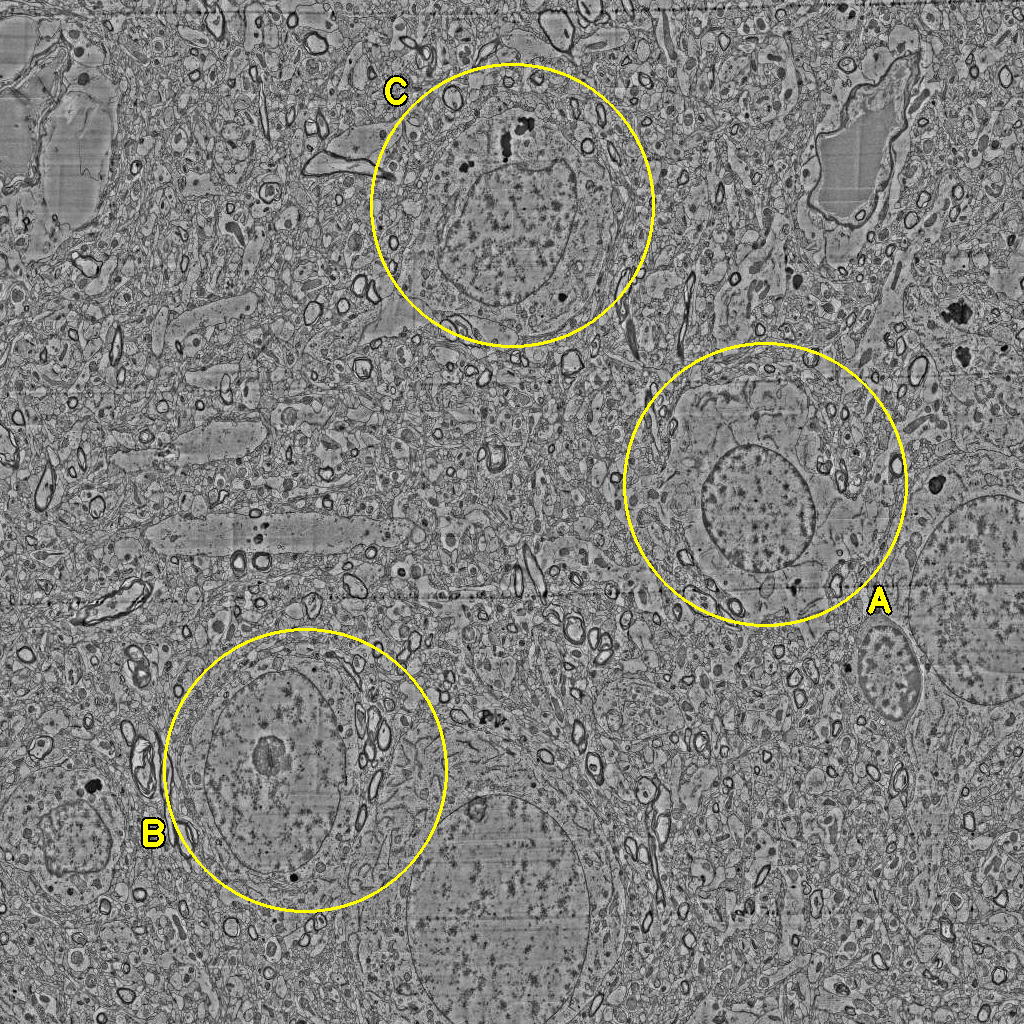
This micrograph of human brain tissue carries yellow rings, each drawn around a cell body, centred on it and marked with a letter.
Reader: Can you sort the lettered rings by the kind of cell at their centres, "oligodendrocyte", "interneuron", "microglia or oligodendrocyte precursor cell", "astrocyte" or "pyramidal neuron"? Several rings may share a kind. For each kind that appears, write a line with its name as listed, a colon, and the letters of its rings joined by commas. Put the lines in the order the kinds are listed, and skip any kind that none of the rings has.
interneuron: C
astrocyte: A
pyramidal neuron: B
